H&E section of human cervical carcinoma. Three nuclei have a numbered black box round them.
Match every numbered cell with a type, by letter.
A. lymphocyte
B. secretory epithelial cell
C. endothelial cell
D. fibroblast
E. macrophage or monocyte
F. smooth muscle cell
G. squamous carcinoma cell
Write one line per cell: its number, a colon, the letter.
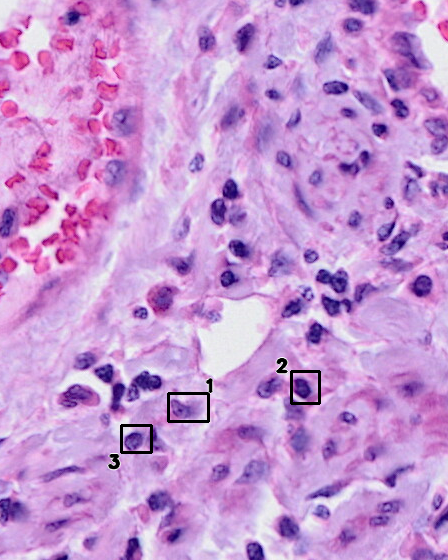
1: E
2: A
3: A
